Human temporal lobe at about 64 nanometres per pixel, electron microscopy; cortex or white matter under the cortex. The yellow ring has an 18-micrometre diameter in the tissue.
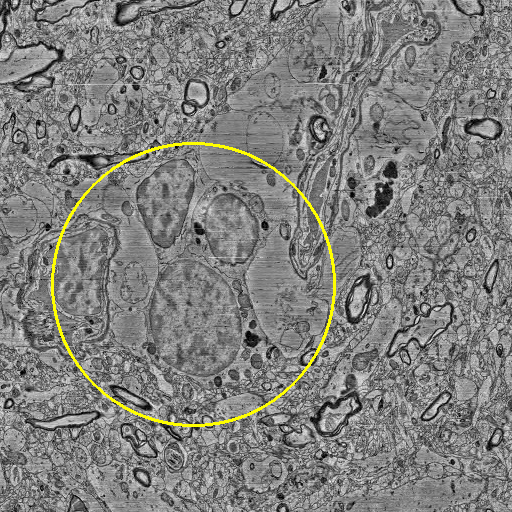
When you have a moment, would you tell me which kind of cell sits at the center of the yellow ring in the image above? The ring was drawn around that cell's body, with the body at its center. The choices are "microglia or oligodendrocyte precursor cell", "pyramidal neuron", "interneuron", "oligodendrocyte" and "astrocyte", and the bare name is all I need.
oligodendrocyte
